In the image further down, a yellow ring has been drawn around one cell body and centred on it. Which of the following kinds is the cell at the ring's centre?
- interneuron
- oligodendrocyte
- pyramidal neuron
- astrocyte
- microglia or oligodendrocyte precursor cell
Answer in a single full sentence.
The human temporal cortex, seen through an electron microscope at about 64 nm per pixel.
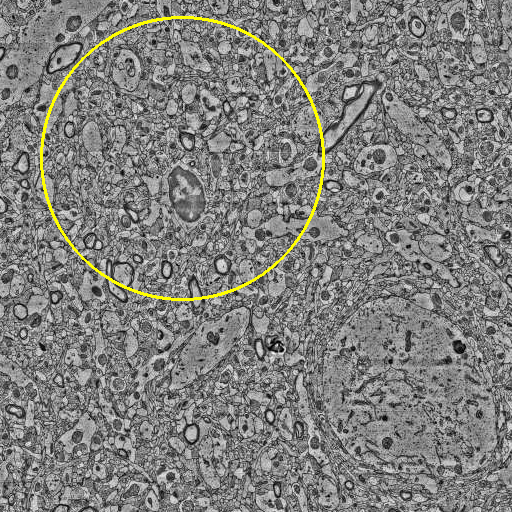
In the picture, the cell sitting at the centre of the yellow ring is a microglial cell or oligodendrocyte precursor cell.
